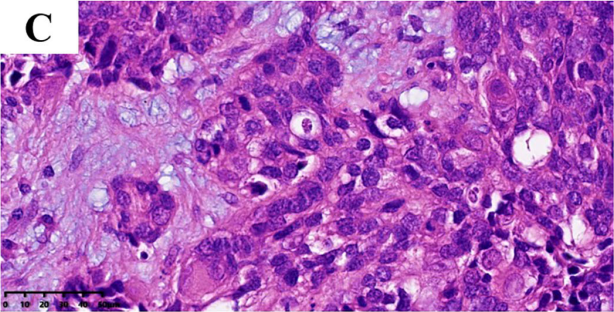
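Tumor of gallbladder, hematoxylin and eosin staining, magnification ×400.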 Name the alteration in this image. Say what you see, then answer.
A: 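Tumor cell nuclei are large relative to the scant surrounding cytoplasm. Nuclei are crowded and dark.
Answer: high nucleo-plasma ratio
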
